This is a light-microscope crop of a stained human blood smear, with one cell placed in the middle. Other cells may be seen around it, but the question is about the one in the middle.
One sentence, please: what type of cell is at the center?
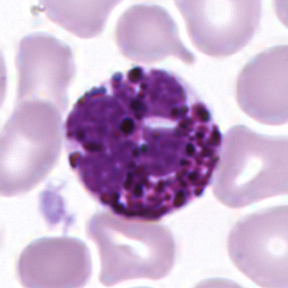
The central cell shown in this smear crop is a basophil.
